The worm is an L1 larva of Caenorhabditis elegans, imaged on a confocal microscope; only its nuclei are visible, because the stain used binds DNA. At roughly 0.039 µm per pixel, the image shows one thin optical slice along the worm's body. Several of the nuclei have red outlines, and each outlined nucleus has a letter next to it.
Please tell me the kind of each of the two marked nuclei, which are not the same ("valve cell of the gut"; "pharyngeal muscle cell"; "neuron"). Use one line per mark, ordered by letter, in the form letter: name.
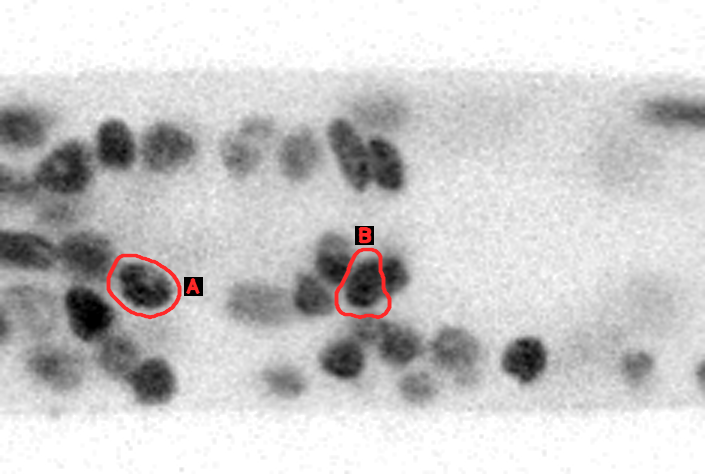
A: neuron
B: valve cell of the gut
